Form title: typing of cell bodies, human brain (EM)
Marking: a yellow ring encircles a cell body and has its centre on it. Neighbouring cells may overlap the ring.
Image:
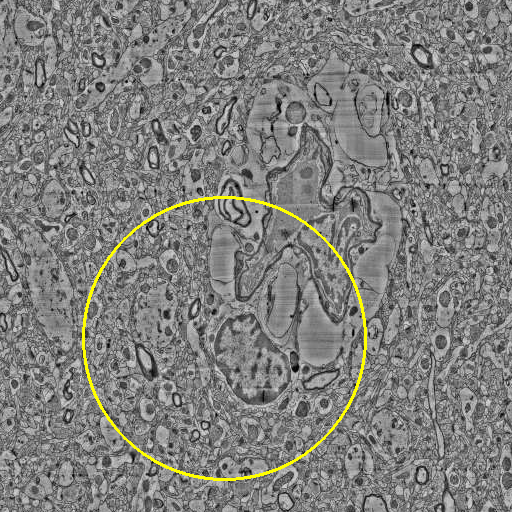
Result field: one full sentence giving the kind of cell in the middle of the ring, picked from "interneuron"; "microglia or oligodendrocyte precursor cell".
In the picture, the ring is centred on a microglial cell or oligodendrocyte precursor cell, whose cell body it encircles.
